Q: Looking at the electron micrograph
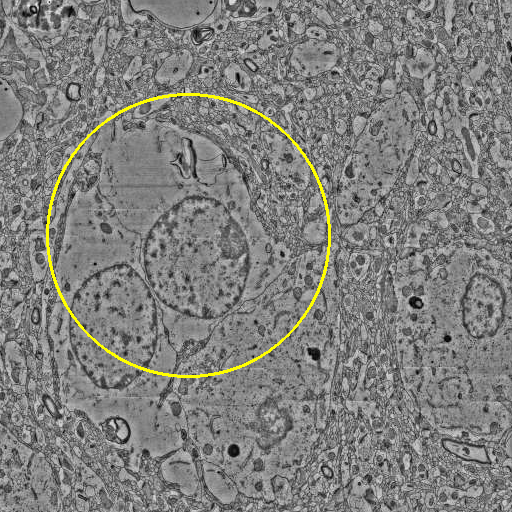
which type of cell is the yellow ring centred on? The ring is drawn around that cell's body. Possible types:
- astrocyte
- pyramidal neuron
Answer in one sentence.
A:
The yellow ring is centred on an astrocyte.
